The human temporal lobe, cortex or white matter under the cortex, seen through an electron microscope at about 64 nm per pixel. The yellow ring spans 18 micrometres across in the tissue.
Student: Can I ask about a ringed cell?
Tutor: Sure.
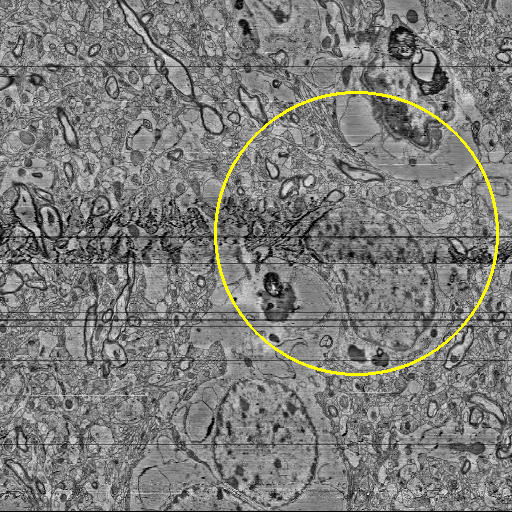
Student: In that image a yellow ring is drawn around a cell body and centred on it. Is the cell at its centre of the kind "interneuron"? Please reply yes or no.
Yes, the cell is of that kind.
